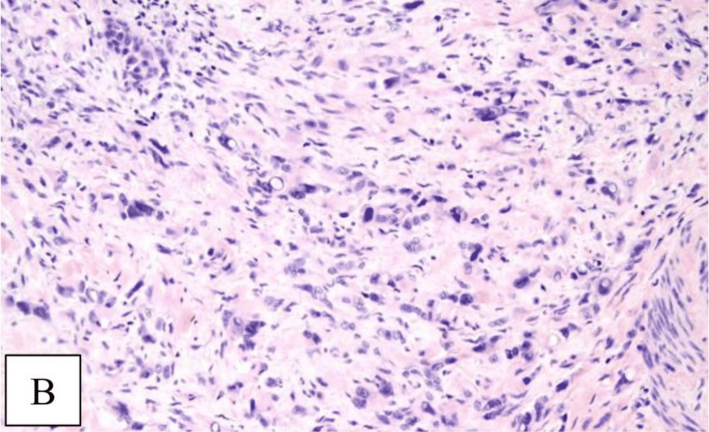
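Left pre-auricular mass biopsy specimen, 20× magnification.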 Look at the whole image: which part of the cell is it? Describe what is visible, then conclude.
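A few small round clear spaces lie within the pink cytoplasm of tumour cells.
Conclusion: intracytoplasmic vacuoles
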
